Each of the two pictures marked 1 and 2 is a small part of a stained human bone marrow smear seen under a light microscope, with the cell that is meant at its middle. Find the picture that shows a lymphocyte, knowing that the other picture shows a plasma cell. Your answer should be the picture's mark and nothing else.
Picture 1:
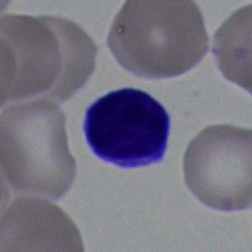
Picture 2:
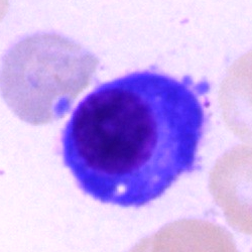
1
